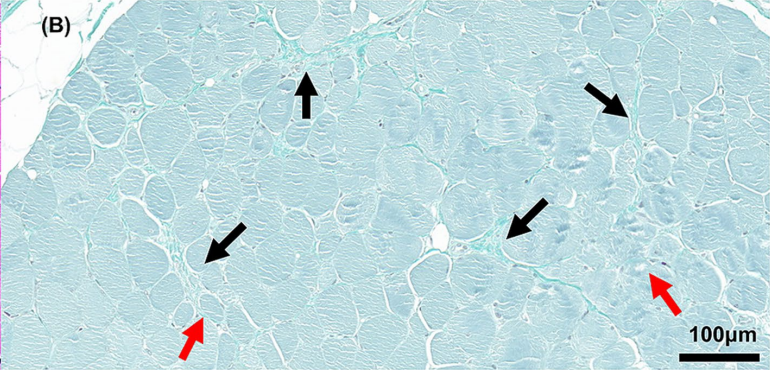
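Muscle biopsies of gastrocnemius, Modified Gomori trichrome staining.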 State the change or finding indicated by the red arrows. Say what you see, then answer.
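Atrophic myofibers. The arrowed fibers are smaller than the neighbouring muscle fibers.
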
